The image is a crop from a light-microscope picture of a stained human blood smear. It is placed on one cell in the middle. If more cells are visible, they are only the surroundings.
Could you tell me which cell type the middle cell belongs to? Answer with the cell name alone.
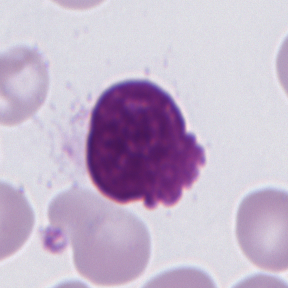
smudge cell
